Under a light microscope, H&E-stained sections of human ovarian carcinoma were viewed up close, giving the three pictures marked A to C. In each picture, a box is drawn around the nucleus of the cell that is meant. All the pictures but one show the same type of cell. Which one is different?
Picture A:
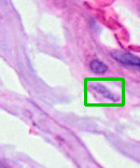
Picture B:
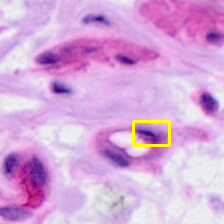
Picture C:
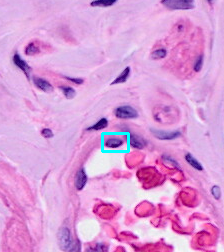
A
